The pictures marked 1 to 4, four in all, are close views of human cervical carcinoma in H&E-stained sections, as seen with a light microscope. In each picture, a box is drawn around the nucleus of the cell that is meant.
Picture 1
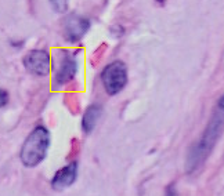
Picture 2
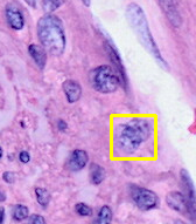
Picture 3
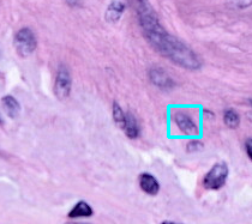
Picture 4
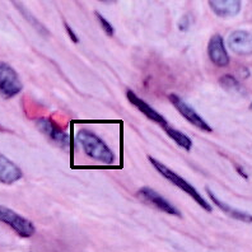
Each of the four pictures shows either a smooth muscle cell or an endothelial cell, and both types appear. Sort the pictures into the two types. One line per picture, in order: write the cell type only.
endothelial cell
smooth muscle cell
smooth muscle cell
endothelial cell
